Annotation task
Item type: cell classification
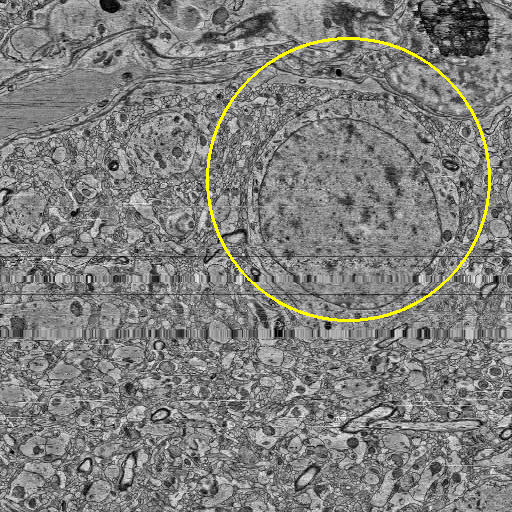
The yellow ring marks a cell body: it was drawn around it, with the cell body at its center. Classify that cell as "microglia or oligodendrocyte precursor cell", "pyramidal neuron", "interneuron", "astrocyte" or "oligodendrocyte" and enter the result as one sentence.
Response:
The ring's center falls on a pyramidal neuron.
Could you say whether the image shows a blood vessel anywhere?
Yes, there is one.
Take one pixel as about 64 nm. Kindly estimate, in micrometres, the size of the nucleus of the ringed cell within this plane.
In this plane, the nucleus measures approximately 12 micrometres across.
